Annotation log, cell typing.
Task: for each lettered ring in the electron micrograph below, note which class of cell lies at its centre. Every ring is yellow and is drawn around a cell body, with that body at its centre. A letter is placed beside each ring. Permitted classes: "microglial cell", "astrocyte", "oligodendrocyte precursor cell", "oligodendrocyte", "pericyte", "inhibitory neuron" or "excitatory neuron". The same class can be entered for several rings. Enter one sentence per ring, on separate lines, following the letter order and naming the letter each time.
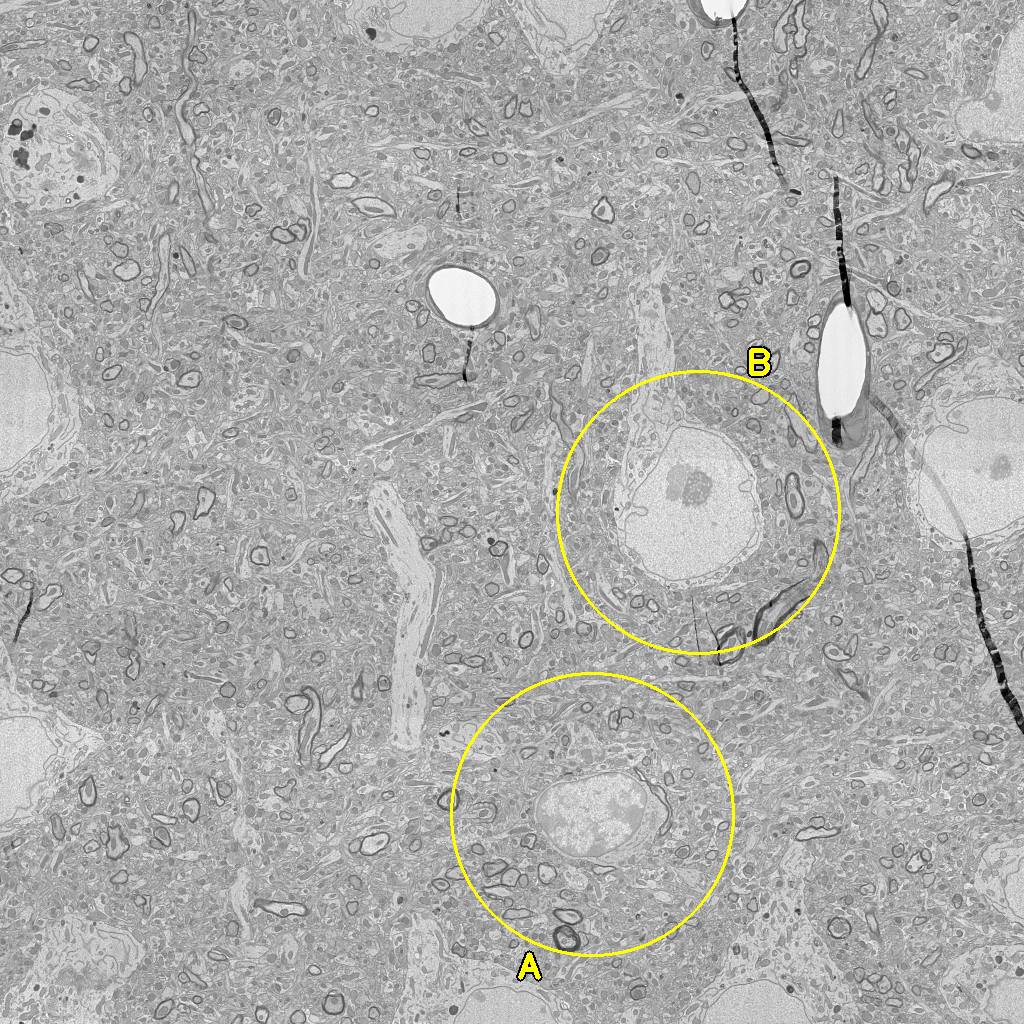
The cell at the centre of ring A is an oligodendrocyte.
The cell at the centre of ring B is an inhibitory neuron.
